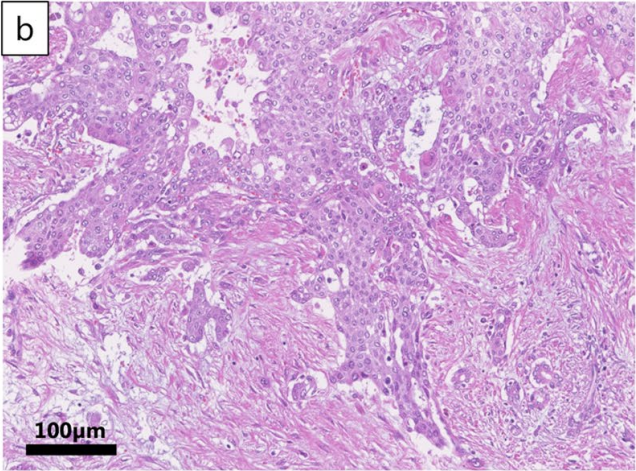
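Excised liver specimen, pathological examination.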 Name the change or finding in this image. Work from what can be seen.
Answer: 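Solid nests and sheets of large polygonal cells with abundant pink cytoplasm. Tumour nests set in pale pink fibrous stroma. Nuclei are enlarged with visible nucleoli.
Conclusion: squamous cell carcinoma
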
